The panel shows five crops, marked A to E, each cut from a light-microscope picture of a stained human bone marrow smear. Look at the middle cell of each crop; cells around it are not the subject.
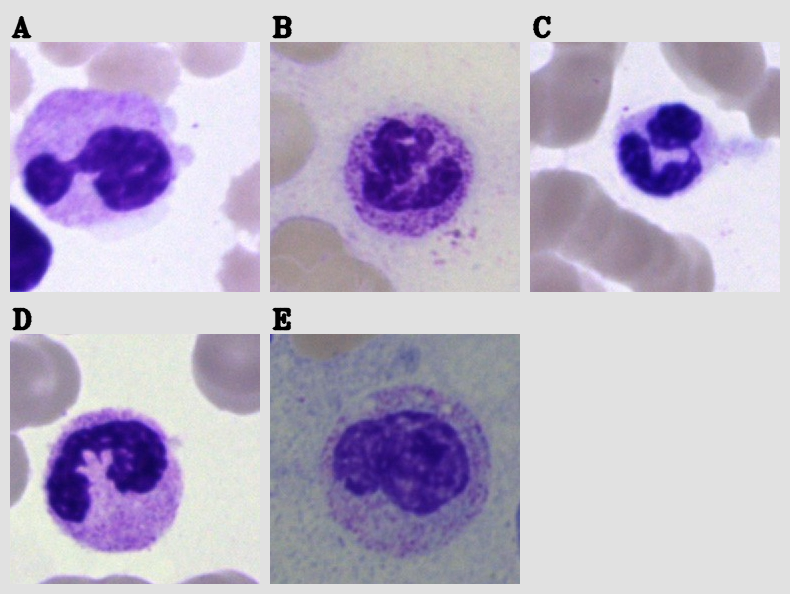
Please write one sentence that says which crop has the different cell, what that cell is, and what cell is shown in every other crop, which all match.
Crop E stands apart as a band neutrophil, whereas the remaining crops all show segmented neutrophils.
